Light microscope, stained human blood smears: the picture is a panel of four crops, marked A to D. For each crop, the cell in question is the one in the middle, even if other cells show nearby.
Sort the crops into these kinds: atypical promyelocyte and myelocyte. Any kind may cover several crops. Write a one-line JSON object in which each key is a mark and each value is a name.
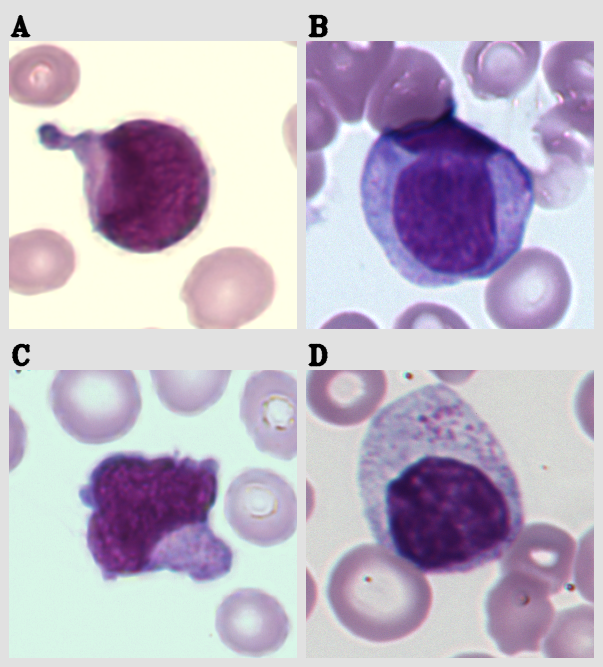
{"A": "atypical promyelocyte", "B": "atypical promyelocyte", "C": "atypical promyelocyte", "D": "myelocyte"}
